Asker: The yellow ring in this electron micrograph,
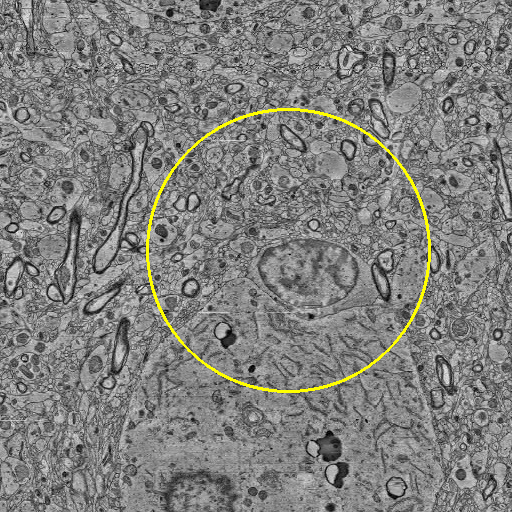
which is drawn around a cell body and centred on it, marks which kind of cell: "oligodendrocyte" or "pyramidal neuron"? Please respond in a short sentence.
The marked cell is an oligodendrocyte.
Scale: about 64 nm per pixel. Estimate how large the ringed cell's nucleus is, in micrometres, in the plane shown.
Approximately 6 by 5 micrometers in this plane.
